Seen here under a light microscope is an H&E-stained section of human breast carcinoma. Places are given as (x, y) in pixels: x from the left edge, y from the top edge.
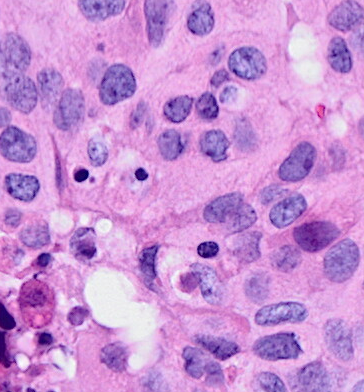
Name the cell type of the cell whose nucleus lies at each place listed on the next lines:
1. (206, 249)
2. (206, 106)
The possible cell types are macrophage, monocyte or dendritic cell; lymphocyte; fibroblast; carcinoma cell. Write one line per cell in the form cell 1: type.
cell 1: lymphocyte
cell 2: carcinoma cell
